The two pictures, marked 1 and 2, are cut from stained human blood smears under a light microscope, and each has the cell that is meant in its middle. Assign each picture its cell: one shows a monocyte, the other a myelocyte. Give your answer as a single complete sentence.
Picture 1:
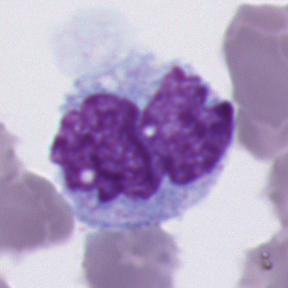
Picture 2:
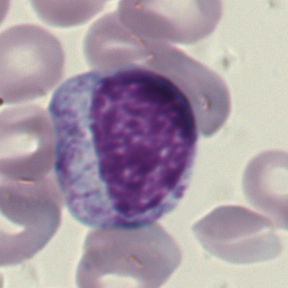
Picture 1 shows a monocyte and picture 2 shows a myelocyte.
